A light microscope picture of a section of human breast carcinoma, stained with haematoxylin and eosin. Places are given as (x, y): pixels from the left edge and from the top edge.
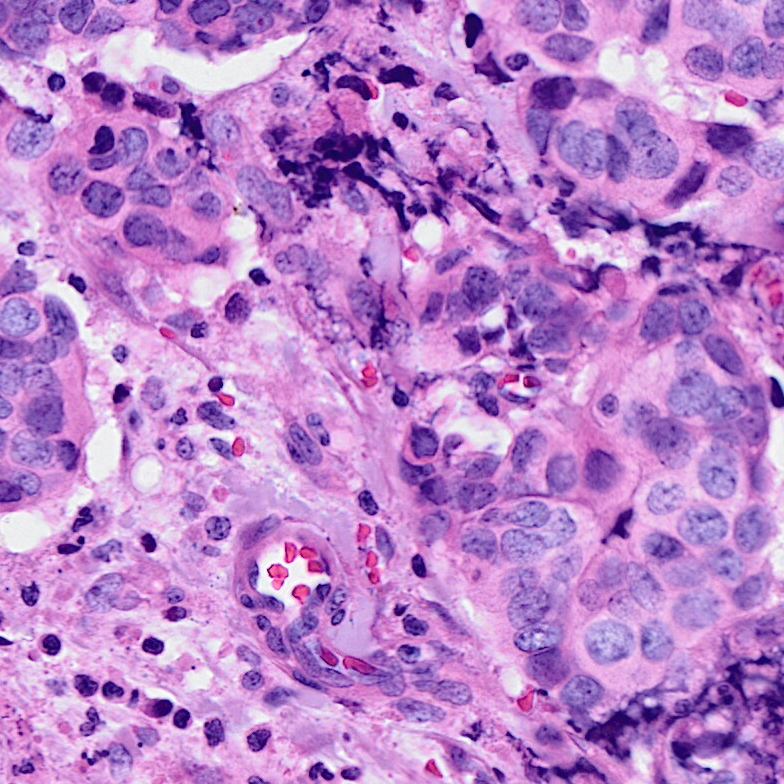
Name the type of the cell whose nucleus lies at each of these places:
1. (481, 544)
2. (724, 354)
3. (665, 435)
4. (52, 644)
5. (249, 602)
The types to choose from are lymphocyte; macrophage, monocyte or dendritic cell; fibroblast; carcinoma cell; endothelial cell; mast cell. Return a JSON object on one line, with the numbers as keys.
{"1": "carcinoma cell", "2": "carcinoma cell", "3": "carcinoma cell", "4": "lymphocyte", "5": "endothelial cell"}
